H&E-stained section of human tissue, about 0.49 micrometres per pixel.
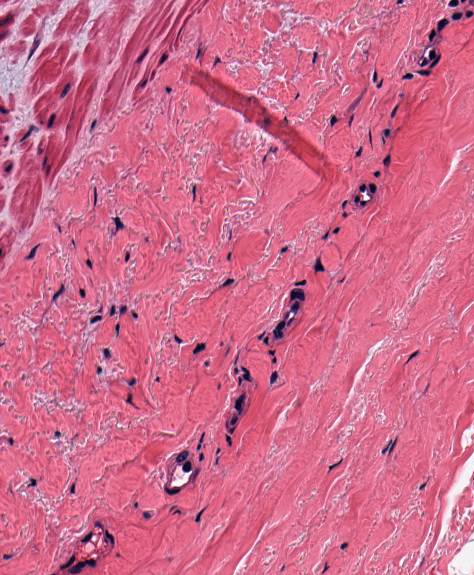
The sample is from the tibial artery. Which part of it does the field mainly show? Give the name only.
tunica adventitia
